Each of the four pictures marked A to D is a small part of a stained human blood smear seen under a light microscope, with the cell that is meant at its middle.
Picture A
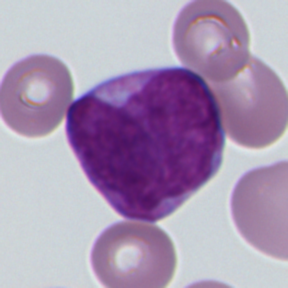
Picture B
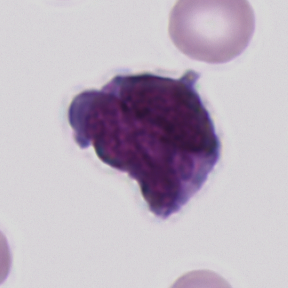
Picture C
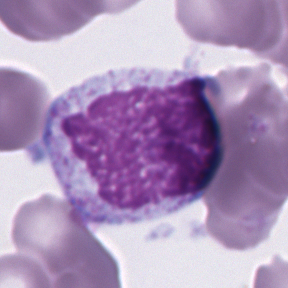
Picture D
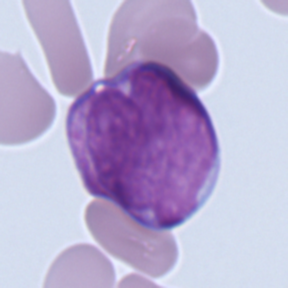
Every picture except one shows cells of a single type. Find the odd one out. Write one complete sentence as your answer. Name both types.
The different one is picture C; it shows a myelocyte, whereas all the others show atypical promyelocytes.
